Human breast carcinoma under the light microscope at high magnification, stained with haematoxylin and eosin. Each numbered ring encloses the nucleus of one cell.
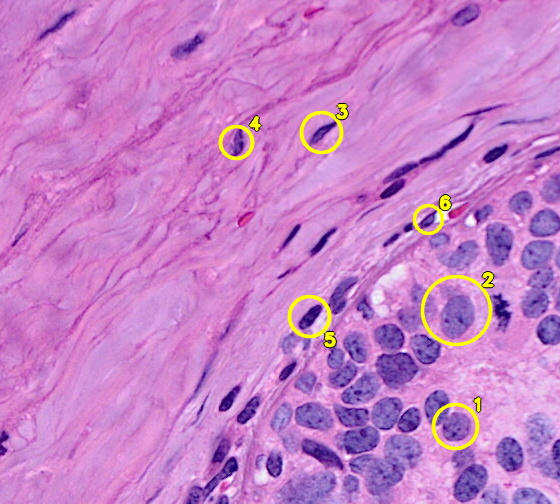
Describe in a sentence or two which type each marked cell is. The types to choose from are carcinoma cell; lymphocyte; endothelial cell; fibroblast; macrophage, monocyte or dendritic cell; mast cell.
Cell 1 is a carcinoma cell, cell 2 is a carcinoma cell, cell 3 is a fibroblast, cell 4 is a fibroblast, cell 5 is a lymphocyte and cell 6 is an endothelial cell.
